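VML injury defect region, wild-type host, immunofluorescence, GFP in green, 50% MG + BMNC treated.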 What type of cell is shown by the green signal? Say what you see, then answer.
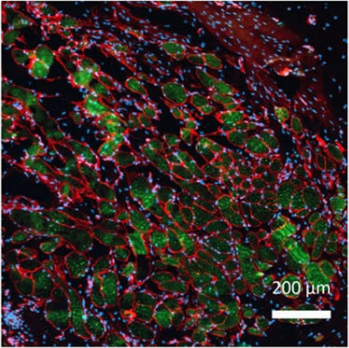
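Muscle fibers. Green fills large polygonal profiles. Each green profile is outlined by a thin red rim. Blue nuclei sit at the edges of the green profiles.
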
